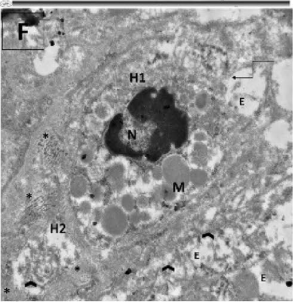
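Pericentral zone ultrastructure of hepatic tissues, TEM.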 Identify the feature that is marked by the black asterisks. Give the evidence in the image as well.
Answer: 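Asterisks sit on patches of fine, streaky filamentous material at the left of the cell. The material is fibrous rather than membrane-bound organelles.
Answer: fibrillar aggregates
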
